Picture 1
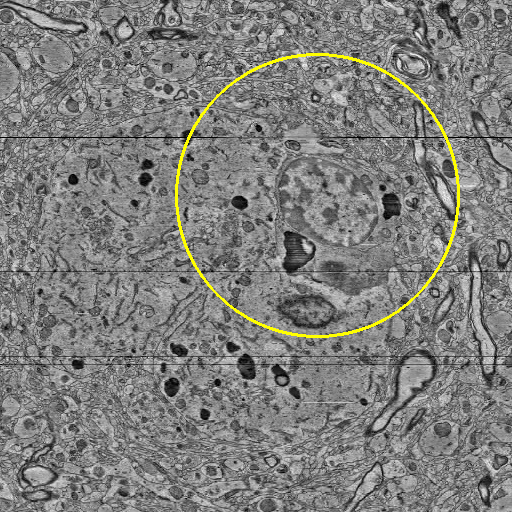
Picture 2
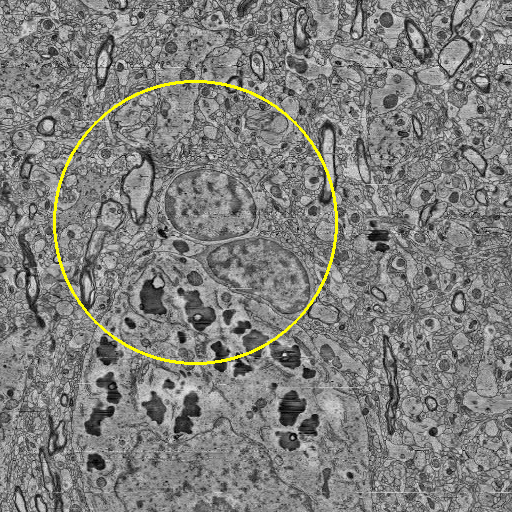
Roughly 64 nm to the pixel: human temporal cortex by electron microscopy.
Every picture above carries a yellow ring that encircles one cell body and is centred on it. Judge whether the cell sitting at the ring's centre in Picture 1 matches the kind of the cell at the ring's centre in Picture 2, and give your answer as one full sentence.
No, the cells centred in the rings of Pictures 1 and 2 belong to two kinds.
